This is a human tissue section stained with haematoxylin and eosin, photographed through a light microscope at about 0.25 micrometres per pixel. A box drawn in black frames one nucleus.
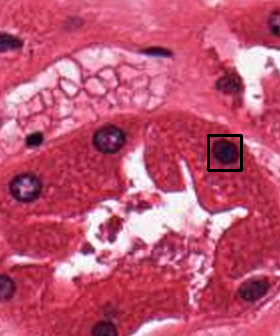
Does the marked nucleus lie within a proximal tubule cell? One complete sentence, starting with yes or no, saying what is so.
Yes, it is a proximal tubule cell to which the marked nucleus belongs.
